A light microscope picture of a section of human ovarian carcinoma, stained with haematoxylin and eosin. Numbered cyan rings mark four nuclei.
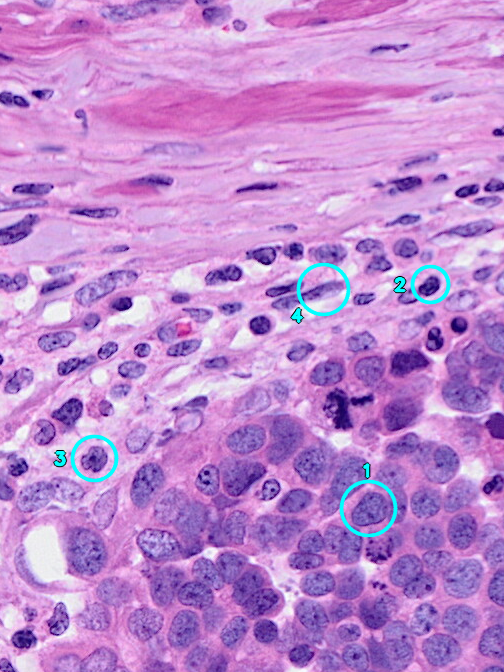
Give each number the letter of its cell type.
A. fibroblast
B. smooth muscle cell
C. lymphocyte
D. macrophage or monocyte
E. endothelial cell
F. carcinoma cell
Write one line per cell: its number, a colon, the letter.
1: F
2: C
3: C
4: A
